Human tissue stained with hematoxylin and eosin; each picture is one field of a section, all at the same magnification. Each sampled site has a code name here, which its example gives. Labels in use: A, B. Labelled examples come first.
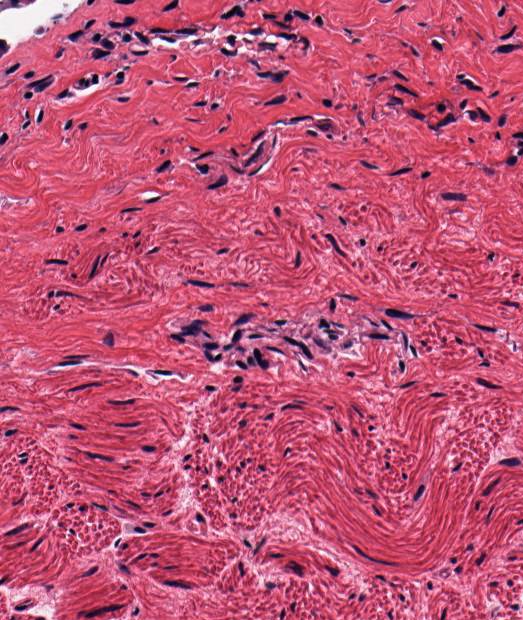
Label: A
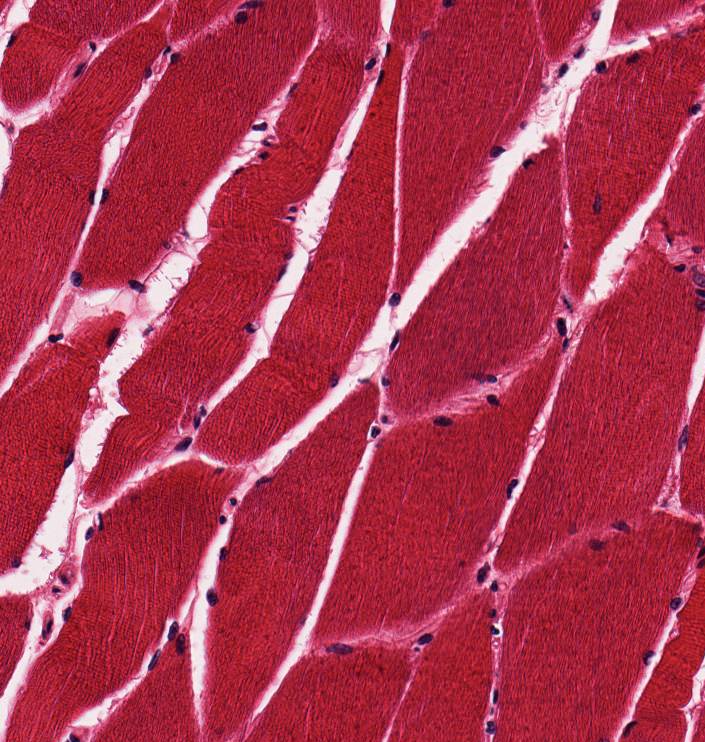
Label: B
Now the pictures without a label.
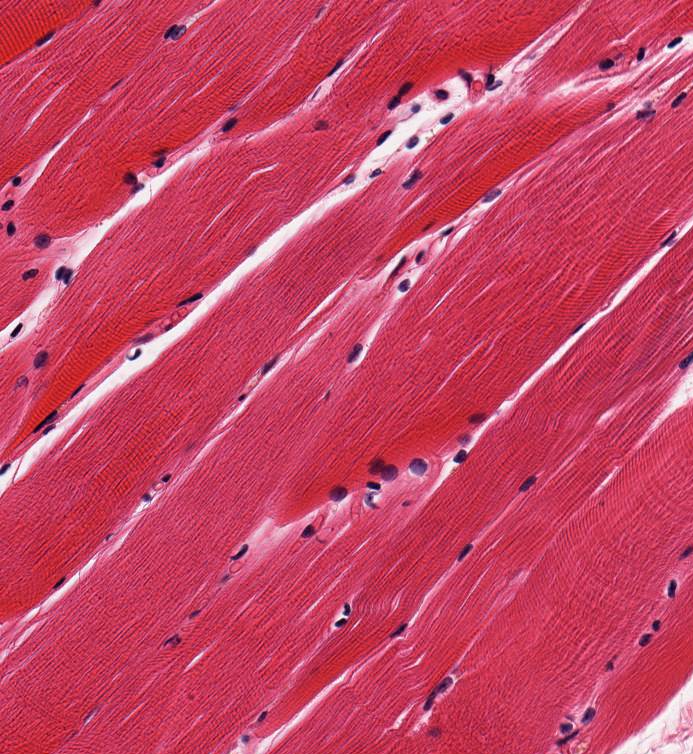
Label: B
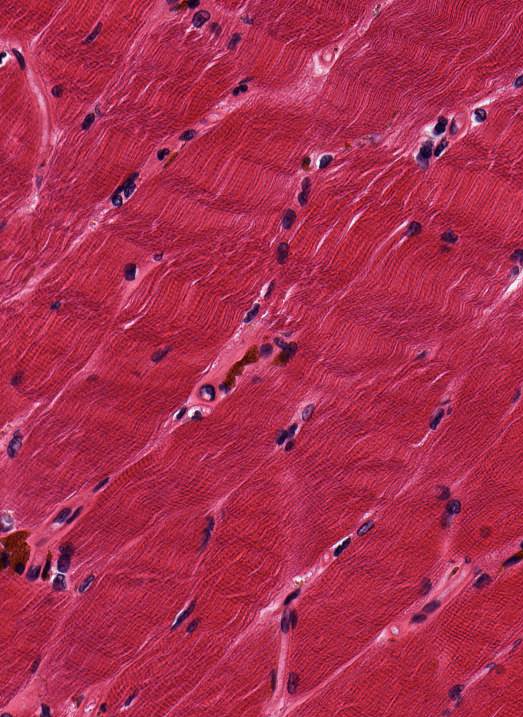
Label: B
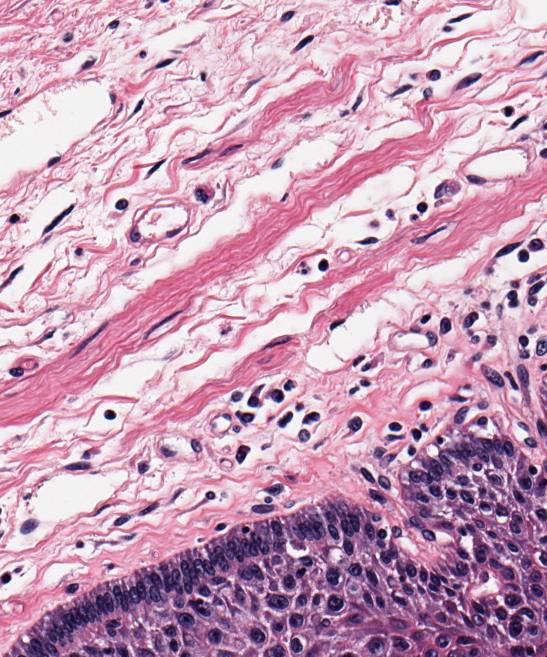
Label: A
